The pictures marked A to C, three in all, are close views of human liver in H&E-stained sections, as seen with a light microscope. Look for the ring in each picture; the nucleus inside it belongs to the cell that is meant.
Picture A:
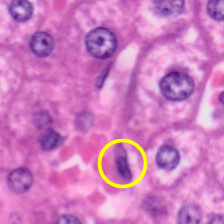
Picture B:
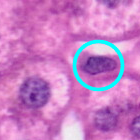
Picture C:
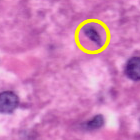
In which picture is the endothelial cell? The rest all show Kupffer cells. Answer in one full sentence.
The picture with the endothelial cell is C.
